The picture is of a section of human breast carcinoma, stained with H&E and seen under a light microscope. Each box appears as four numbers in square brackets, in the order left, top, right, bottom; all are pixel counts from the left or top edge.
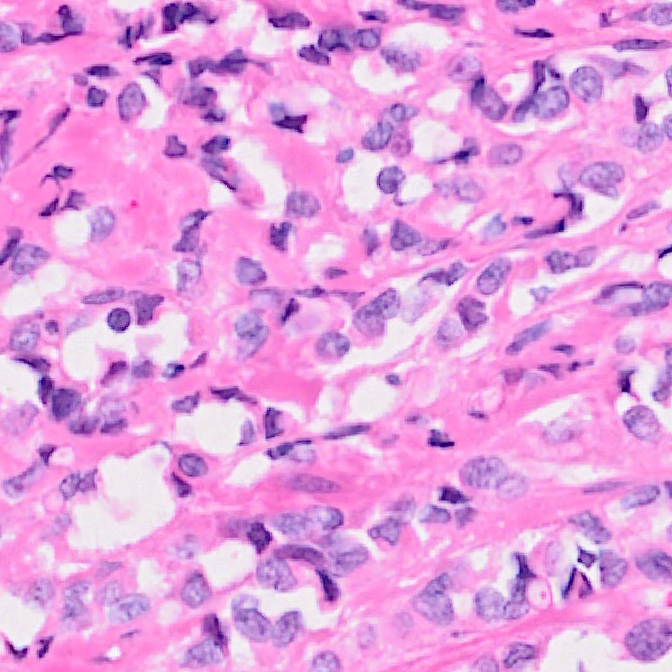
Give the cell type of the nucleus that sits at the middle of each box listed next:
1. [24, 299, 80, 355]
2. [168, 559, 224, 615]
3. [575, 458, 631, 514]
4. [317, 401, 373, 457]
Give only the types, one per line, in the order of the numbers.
endothelial cell
carcinoma cell
fibroblast
fibroblast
